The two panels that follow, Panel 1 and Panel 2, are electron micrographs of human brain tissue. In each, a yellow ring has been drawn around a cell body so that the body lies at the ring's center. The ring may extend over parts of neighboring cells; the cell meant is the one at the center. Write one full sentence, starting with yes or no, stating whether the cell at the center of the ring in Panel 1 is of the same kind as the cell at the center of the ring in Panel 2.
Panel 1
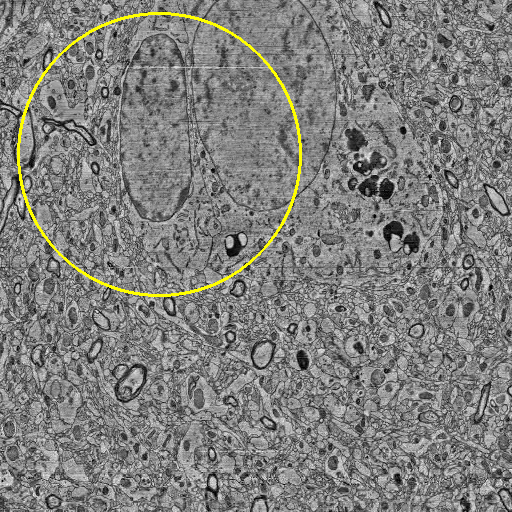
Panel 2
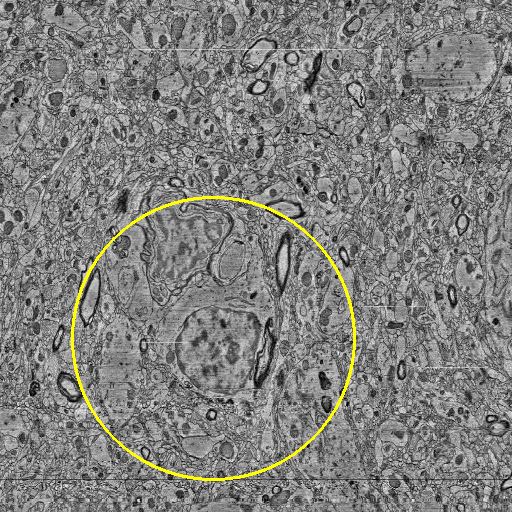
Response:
Yes, the cells in both panels are of the same kind.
